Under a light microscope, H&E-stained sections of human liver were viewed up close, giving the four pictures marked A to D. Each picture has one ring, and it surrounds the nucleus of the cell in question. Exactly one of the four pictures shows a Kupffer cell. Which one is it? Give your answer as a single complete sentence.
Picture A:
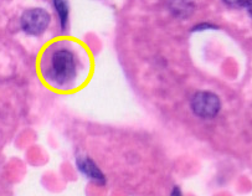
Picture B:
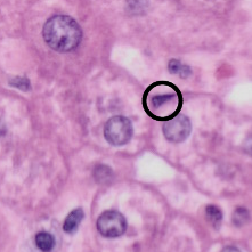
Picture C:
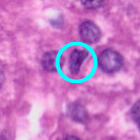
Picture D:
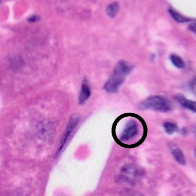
Picture A shows the Kupffer cell.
